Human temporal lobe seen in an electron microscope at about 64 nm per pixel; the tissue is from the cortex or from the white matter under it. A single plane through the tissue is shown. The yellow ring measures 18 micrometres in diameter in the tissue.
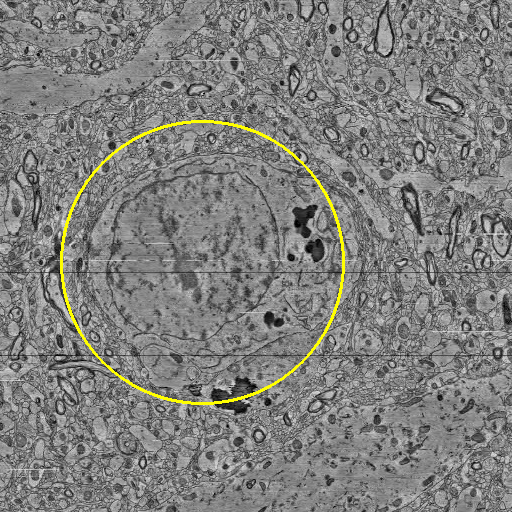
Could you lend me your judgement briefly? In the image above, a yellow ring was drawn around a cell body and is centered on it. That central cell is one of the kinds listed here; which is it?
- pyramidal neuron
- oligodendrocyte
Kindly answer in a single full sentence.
Going by the list, a pyramidal neuron is the kind at the ring's center in the picture.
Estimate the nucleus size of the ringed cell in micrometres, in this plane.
In this plane, roughly 12 micrometres across.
